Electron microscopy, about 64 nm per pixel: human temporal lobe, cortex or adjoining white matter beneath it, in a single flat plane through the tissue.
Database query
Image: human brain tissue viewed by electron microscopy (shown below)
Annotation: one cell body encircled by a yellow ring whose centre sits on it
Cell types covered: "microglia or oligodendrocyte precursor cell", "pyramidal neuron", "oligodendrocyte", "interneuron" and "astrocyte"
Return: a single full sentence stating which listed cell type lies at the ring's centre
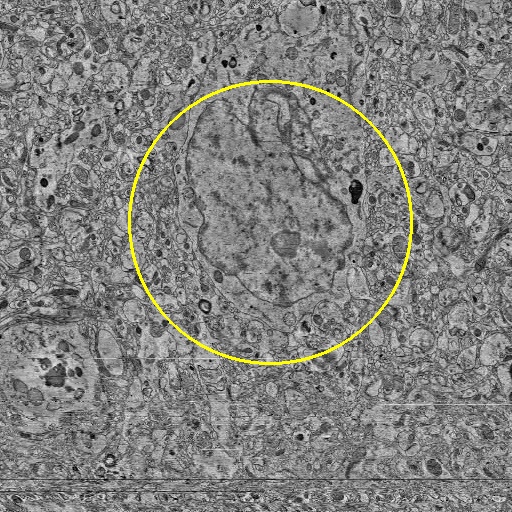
In the image, the cell lying at the ring's centre is an interneuron.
